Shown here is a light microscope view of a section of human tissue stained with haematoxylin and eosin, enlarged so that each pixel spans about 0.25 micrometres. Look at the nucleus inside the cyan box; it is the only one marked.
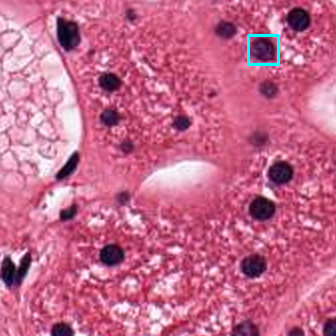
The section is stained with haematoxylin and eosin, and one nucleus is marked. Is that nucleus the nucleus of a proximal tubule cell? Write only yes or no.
yes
